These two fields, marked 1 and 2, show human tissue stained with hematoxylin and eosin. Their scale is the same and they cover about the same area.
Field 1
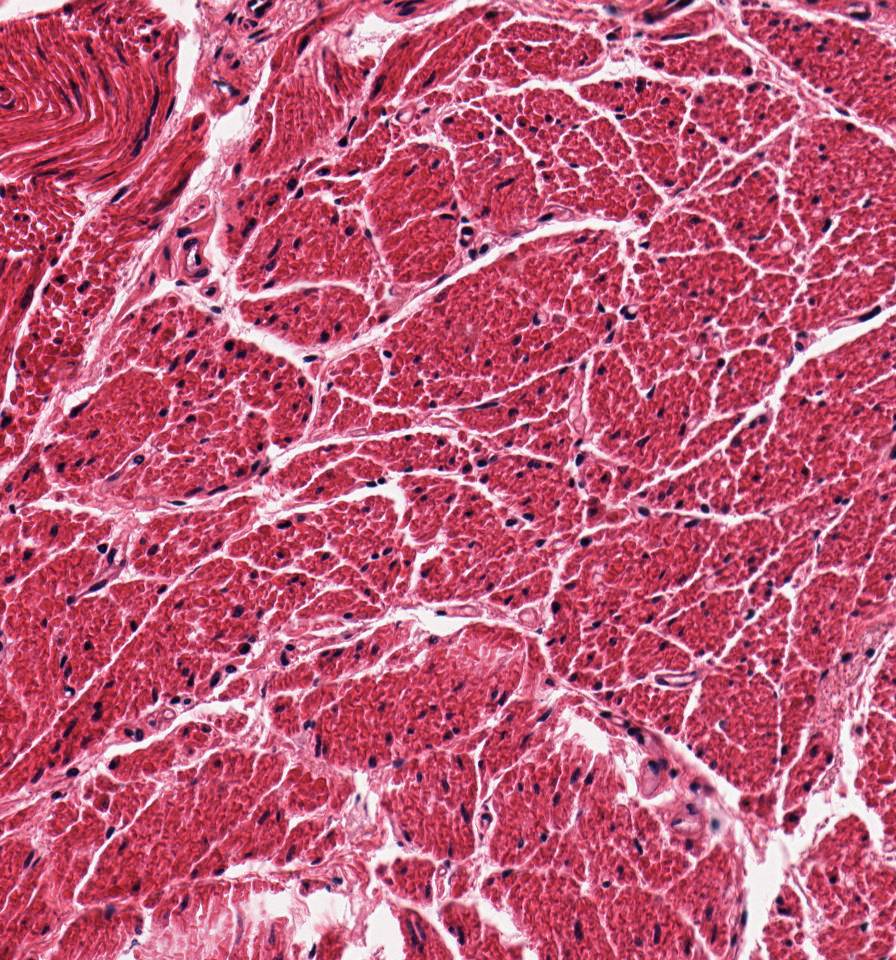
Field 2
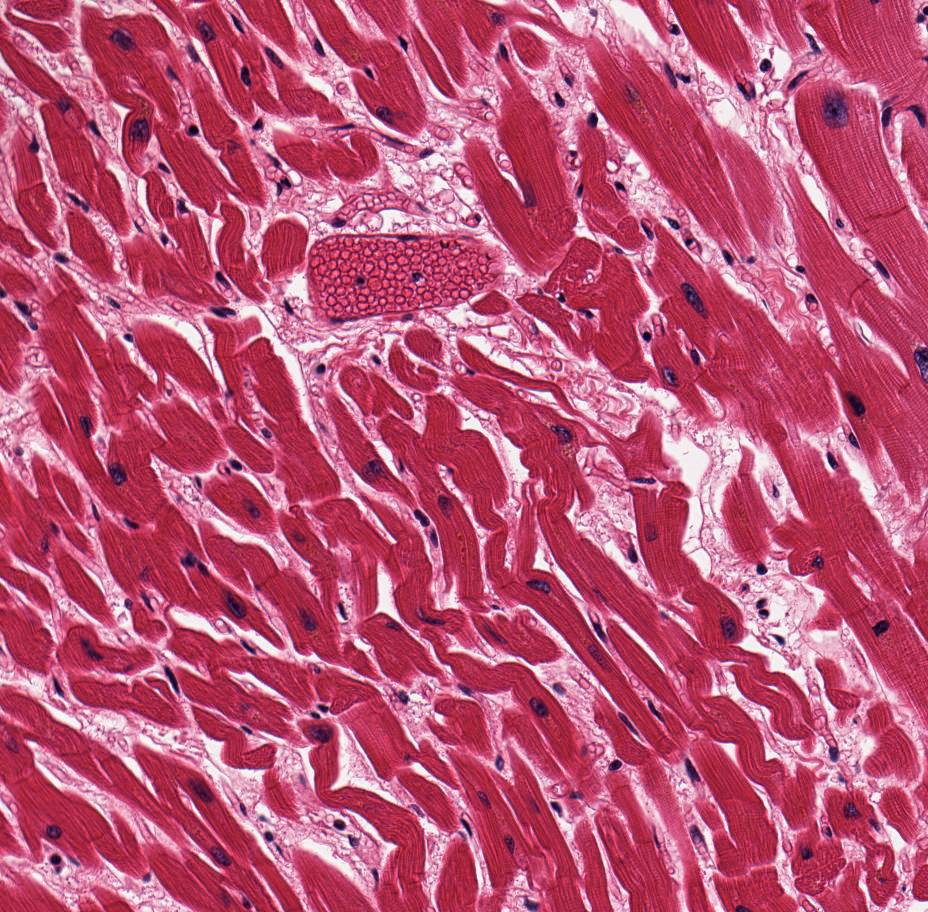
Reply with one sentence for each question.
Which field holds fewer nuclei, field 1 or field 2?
Fewer nuclei lie in field 2 than in field 1.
